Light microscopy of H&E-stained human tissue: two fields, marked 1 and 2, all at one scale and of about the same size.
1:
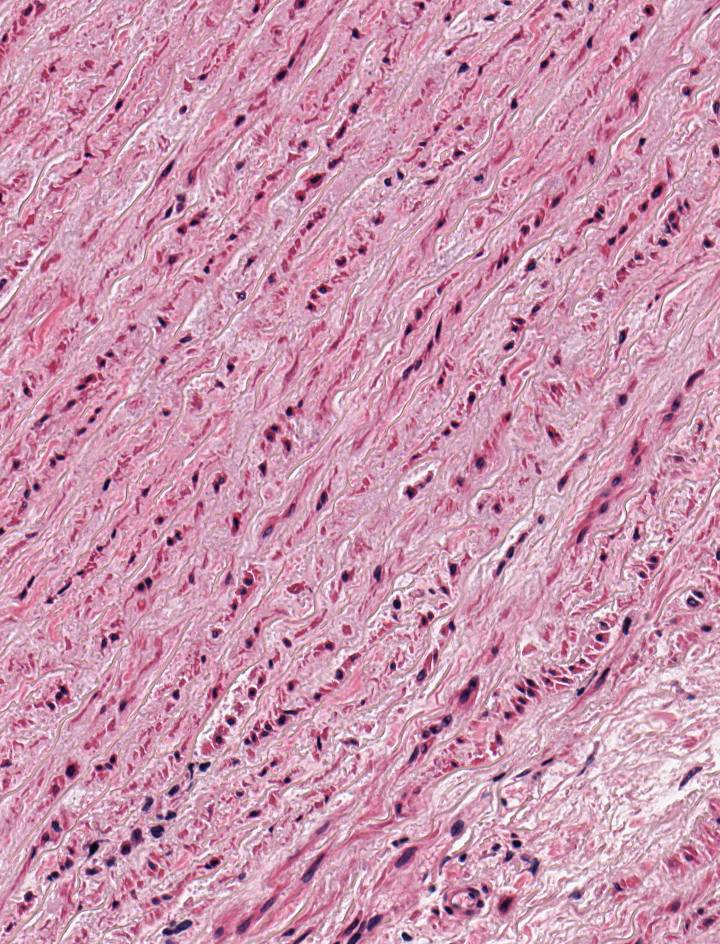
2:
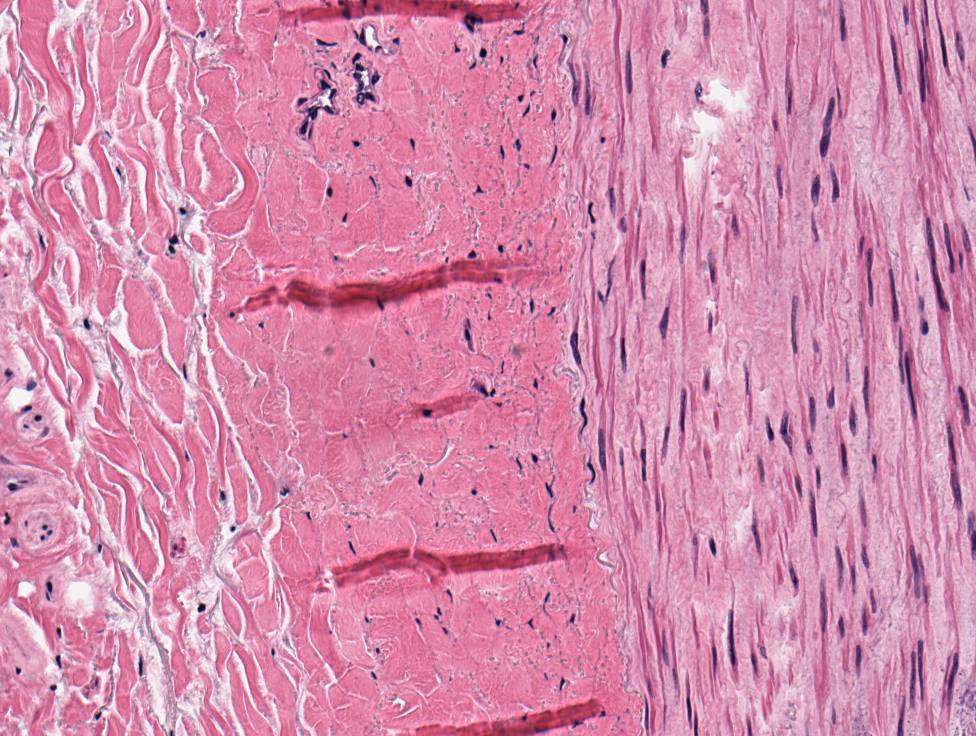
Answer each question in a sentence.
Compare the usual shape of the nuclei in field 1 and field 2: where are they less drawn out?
On the whole the nuclei of field 1 are rounder than those of field 2.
